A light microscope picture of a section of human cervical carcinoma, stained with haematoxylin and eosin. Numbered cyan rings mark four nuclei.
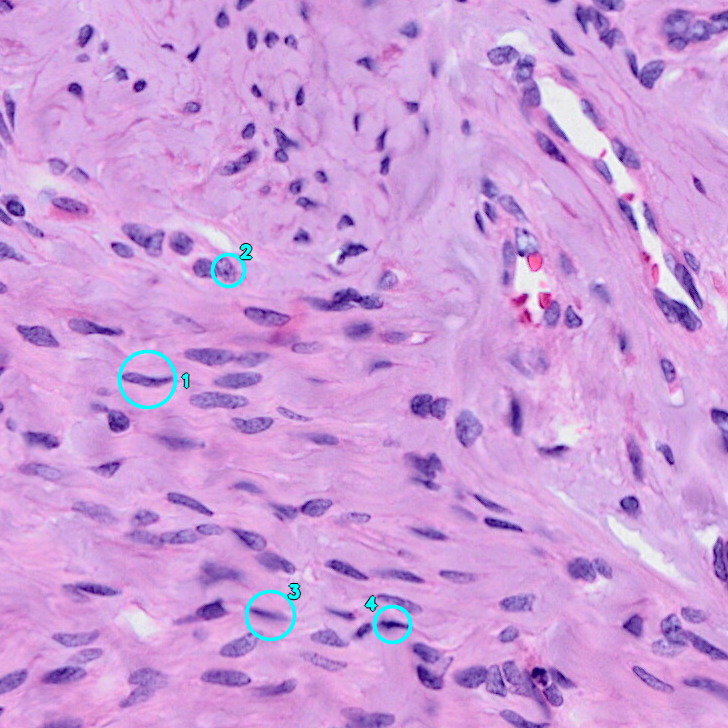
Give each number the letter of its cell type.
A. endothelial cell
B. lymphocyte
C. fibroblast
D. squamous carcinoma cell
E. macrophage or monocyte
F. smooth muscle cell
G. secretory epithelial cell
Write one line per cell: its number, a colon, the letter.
1: C
2: A
3: C
4: C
